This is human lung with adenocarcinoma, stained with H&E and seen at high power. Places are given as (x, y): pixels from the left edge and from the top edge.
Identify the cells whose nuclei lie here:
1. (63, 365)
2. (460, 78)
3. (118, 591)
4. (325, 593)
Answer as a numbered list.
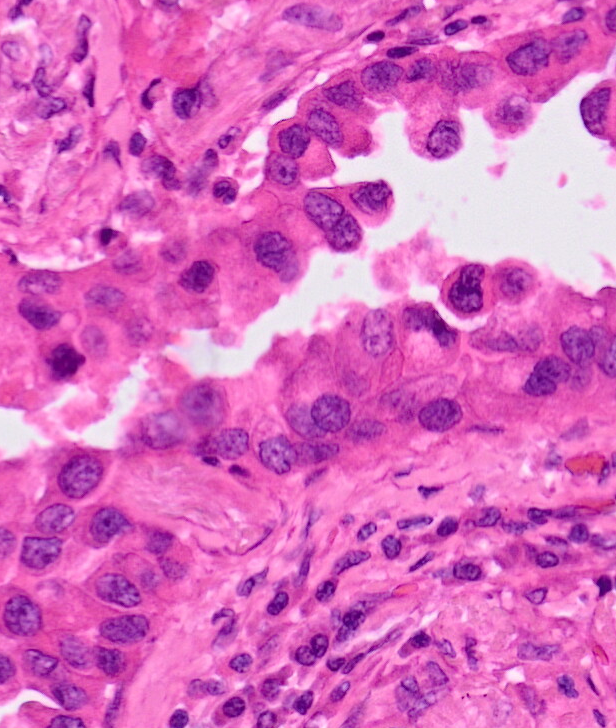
1. carcinoma cell
2. carcinoma cell
3. carcinoma cell
4. plasma cell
